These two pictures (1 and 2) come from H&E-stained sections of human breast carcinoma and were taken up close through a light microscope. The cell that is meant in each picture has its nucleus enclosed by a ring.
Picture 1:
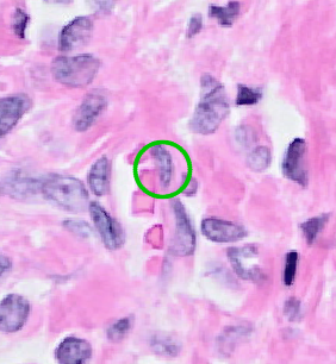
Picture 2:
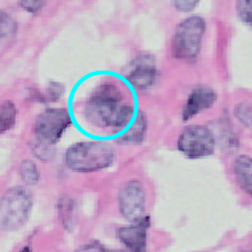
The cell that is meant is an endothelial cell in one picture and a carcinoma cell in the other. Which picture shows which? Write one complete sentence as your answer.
Picture 1 shows an endothelial cell and picture 2 shows a carcinoma cell.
